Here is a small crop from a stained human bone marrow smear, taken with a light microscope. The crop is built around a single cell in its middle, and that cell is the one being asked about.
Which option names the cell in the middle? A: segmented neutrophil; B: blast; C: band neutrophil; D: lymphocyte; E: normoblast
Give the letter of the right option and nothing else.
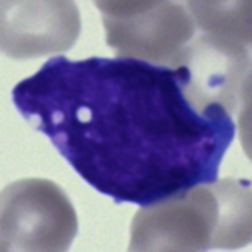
B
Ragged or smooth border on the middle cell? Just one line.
No smooth contour is present; the border is ragged or extended into projections.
